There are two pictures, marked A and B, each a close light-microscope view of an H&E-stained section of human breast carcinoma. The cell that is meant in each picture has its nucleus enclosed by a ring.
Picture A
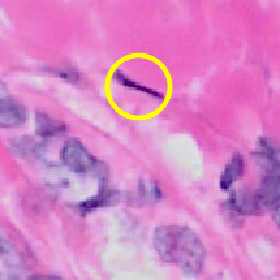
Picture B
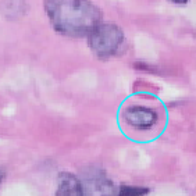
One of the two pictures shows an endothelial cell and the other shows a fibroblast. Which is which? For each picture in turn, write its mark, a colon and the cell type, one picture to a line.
A: fibroblast
B: endothelial cell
